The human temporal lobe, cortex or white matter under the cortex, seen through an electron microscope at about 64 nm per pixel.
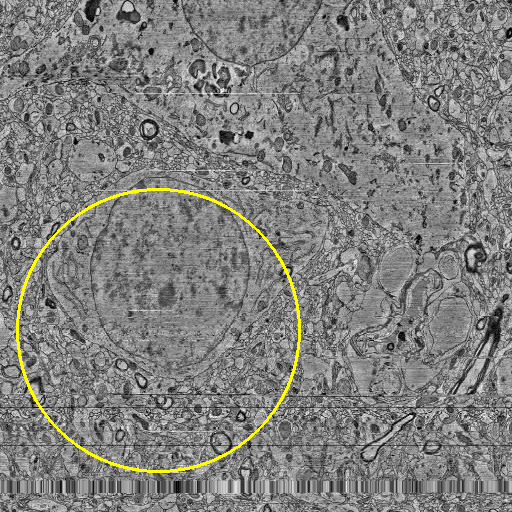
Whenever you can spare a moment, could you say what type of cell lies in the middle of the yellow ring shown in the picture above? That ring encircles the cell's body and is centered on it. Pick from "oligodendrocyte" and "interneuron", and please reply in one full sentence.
The cell whose body sits at the middle of the yellow ring is an interneuron.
